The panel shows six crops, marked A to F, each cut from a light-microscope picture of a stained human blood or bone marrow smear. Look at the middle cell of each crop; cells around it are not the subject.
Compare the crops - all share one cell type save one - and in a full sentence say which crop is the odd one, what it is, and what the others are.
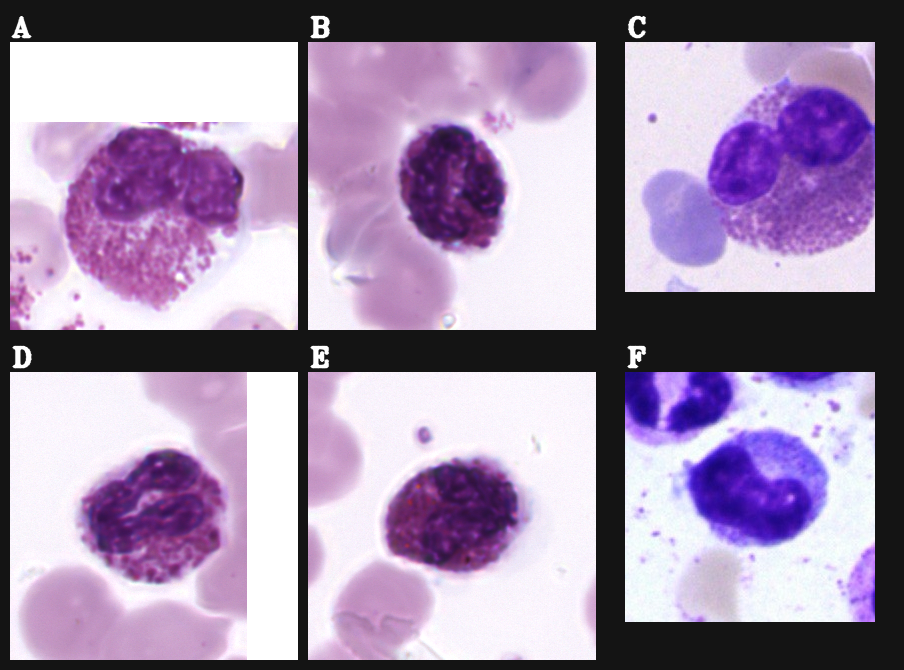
Of all the crops, only crop F shows a metamyelocyte; the others show eosinophils.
